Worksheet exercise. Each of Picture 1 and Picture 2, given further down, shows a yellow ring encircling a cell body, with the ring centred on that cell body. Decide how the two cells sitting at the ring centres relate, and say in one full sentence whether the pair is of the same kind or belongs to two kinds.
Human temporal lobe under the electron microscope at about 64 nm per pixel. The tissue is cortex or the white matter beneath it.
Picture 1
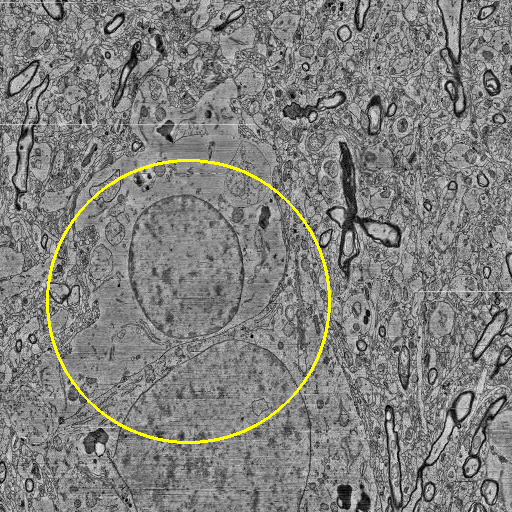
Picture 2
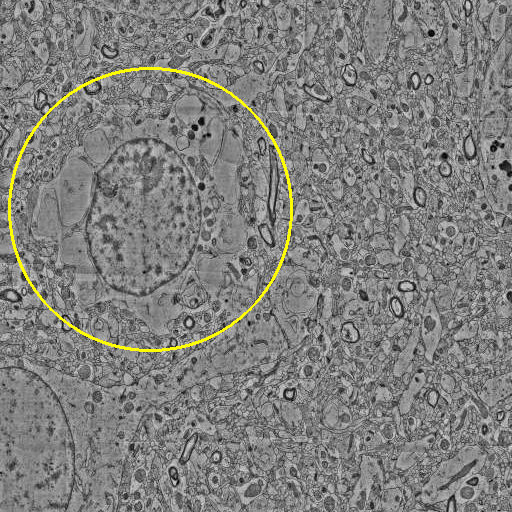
The cells at the ring centres in Picture 1 and Picture 2 are of the same kind.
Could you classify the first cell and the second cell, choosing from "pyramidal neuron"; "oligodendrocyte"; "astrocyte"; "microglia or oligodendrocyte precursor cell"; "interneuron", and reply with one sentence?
Each cell at the centre of a ring is an astrocyte.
